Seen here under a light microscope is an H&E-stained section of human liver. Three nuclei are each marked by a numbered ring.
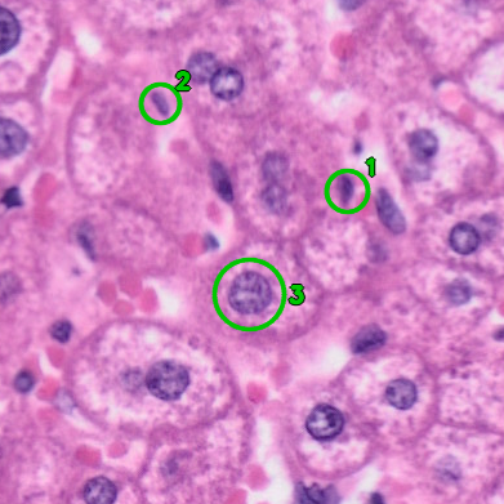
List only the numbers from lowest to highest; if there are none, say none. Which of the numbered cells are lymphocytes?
2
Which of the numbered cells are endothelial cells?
1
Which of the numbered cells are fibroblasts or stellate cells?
none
